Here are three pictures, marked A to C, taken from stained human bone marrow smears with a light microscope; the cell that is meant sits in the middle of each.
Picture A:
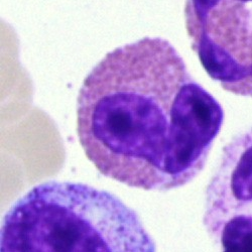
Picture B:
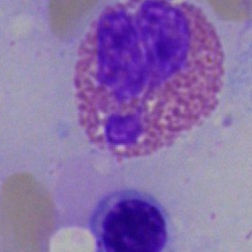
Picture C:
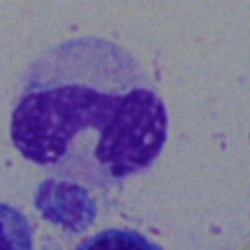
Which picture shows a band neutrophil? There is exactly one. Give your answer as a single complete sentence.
The band neutrophil is the one in picture C.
